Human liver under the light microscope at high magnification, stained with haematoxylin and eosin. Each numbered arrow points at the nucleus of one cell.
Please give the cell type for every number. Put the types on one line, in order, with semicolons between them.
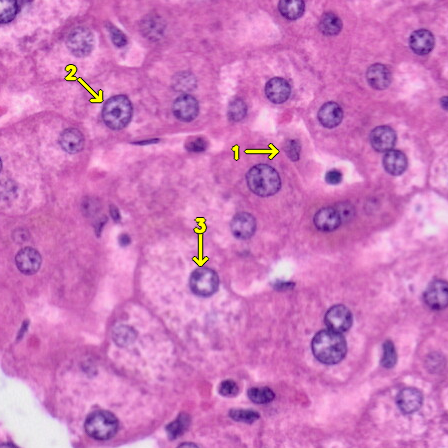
Kupffer cell; hepatocyte; hepatocyte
